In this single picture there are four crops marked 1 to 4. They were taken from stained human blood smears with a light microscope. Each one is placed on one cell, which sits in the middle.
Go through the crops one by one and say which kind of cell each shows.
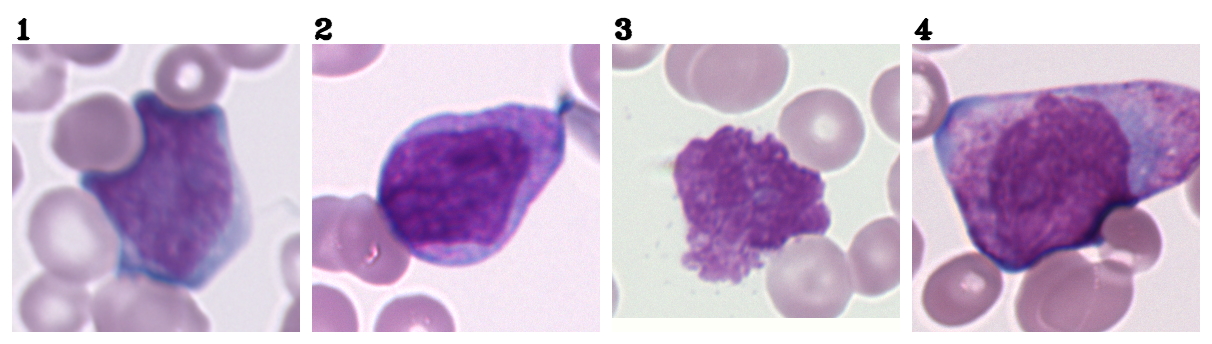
1: myeloblast
2: atypical promyelocyte
3: smudge cell
4: atypical promyelocyte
